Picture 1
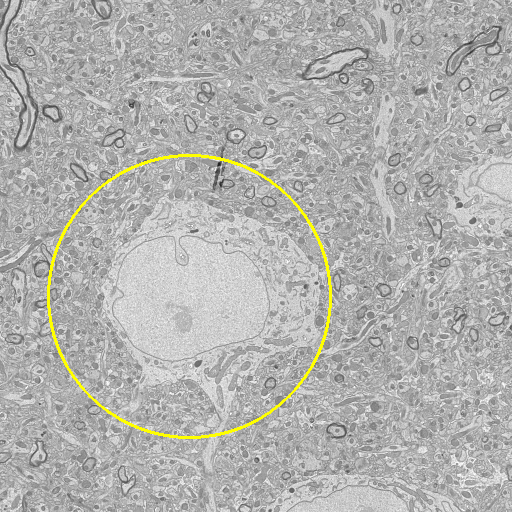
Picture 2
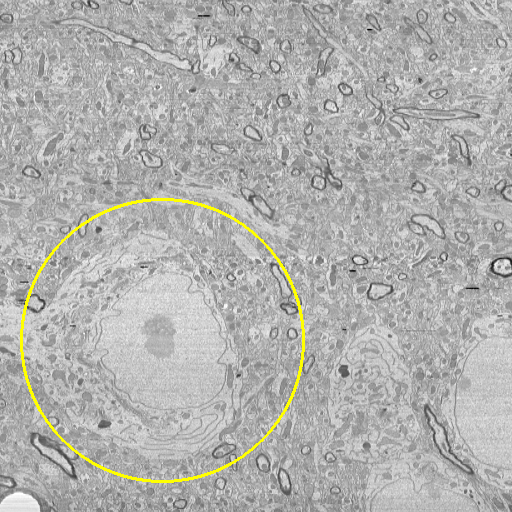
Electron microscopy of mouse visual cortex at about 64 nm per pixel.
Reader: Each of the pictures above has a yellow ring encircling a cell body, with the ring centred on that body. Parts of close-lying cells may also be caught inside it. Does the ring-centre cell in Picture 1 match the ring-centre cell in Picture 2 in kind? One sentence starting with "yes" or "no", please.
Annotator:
Yes, Picture 1 and Picture 2 show ring-centre cells of a single kind.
